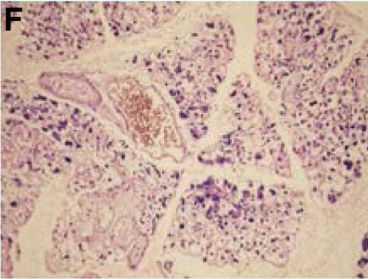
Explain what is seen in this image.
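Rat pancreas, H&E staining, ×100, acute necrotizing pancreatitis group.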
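Pancreatic lobules separated by pale septa are seen, but most acini have lost their compact purple appearance and appear pale pink and disorganized, with scattered dark, fragmented nuclei. A vessel between the lobules is filled with red blood cells. This picture fits extensive acinar necrosis with inflammatory cell infiltration.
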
